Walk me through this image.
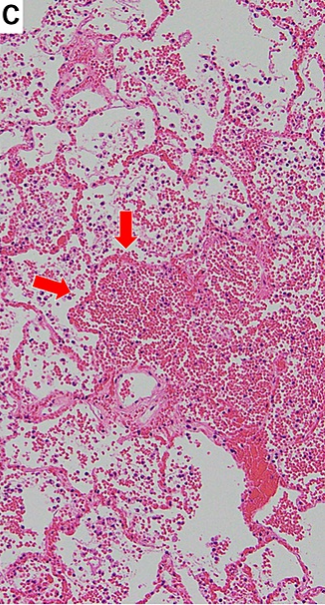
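This is lung tissue stained pink and purple, with thin alveolar septa outlining many rounded air spaces. A vessel with a pink wall lies within the crowded area, and pink material extends toward the lower edge. The picture is one of blood accumulation in the alveolar spaces.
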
